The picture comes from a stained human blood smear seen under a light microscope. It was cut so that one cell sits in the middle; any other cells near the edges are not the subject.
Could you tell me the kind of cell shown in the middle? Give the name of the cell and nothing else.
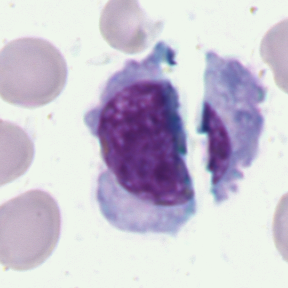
plasma cell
